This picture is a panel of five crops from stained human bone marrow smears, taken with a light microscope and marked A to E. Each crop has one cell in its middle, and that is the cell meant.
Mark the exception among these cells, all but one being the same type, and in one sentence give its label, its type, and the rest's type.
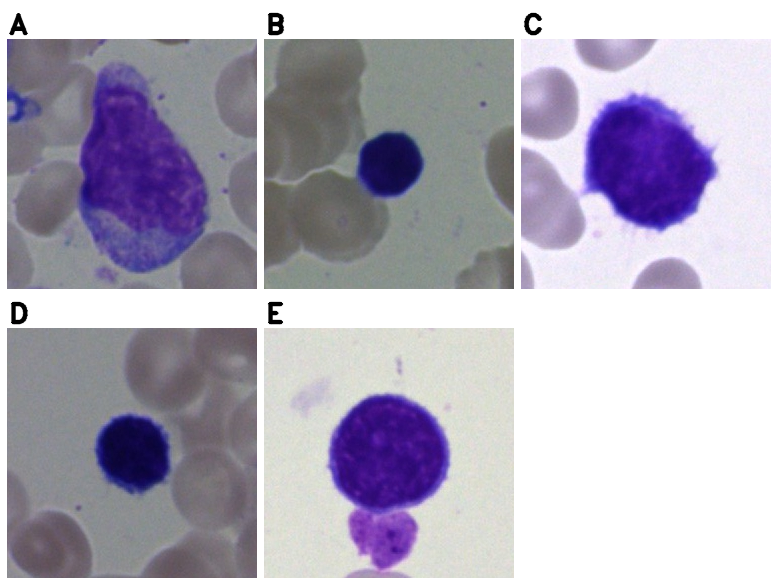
Crop A is different, showing a blast, whereas all the others show lymphocytes.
